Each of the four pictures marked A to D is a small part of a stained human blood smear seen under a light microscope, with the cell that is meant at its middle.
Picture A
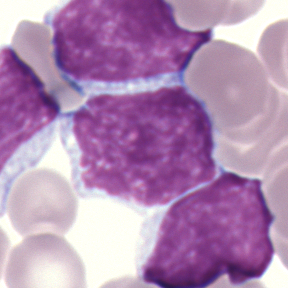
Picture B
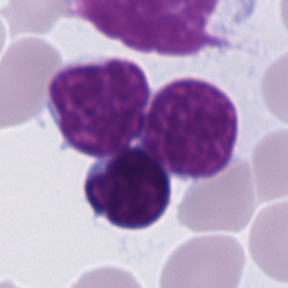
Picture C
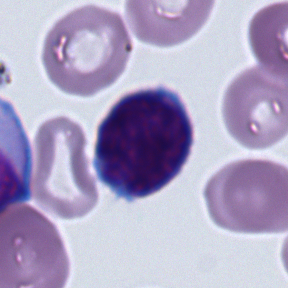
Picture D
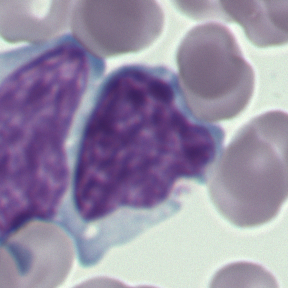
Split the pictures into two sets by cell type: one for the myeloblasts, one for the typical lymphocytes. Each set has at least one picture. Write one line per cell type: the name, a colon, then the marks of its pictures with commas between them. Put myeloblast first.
myeloblast: B, D
typical lymphocyte: A, C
